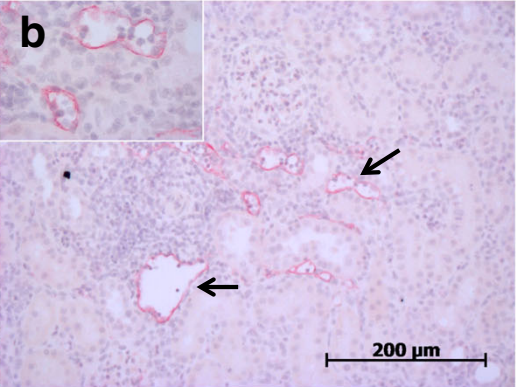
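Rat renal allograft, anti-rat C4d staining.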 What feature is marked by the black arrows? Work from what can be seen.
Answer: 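The arrows point to wide open lumens lying between tubules. These lumens are thin-walled and rimmed by a red line. A few cells lie inside the lumens.
Conclusion: dilated peritubular capillaries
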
